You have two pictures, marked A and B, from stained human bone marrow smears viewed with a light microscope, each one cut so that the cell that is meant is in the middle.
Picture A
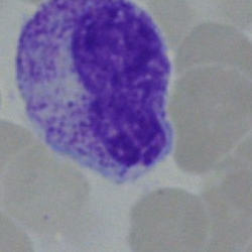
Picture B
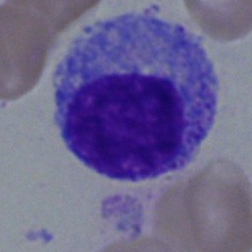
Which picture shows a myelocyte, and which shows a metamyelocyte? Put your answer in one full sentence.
In picture A the cell is a metamyelocyte; in picture B, a myelocyte.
